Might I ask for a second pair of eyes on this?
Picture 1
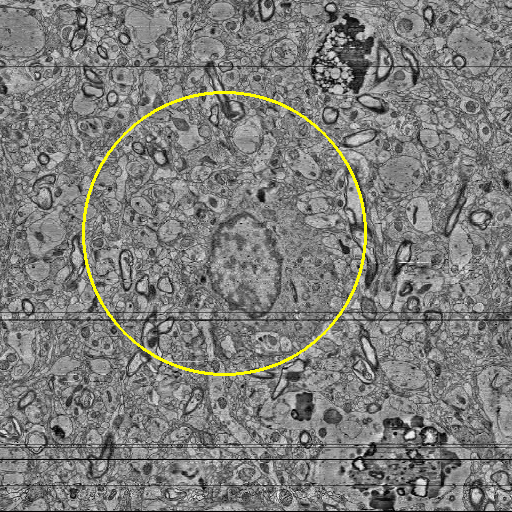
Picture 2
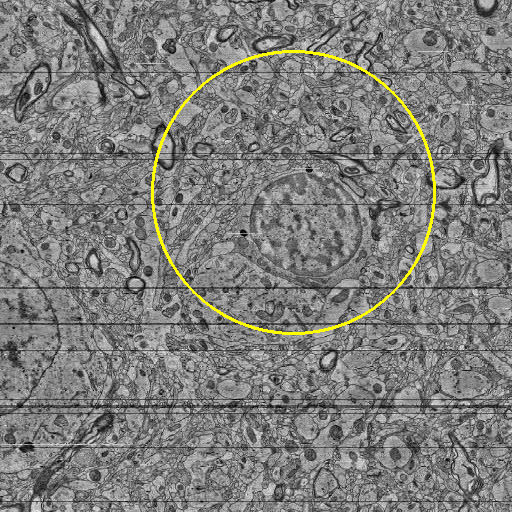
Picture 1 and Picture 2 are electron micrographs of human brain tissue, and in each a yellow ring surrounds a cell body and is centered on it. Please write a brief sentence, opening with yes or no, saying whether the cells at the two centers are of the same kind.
Yes, the cells are of the same kind.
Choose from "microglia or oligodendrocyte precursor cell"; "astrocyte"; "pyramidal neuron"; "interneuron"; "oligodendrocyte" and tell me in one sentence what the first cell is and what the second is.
The cell at the ring centre is an oligodendrocyte in both pictures.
